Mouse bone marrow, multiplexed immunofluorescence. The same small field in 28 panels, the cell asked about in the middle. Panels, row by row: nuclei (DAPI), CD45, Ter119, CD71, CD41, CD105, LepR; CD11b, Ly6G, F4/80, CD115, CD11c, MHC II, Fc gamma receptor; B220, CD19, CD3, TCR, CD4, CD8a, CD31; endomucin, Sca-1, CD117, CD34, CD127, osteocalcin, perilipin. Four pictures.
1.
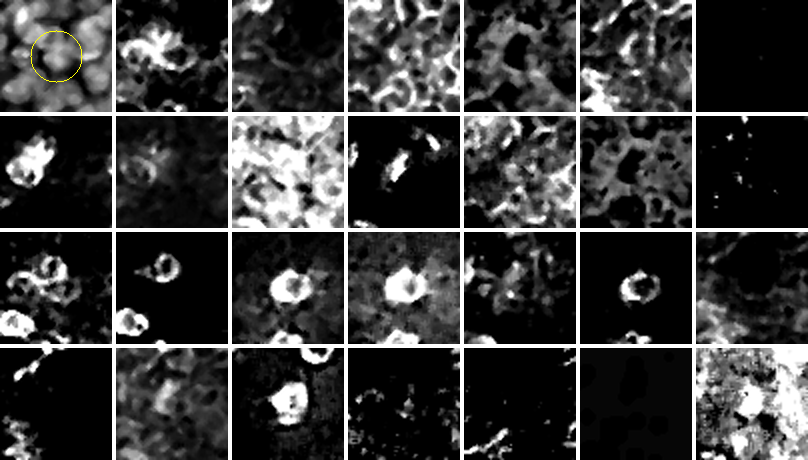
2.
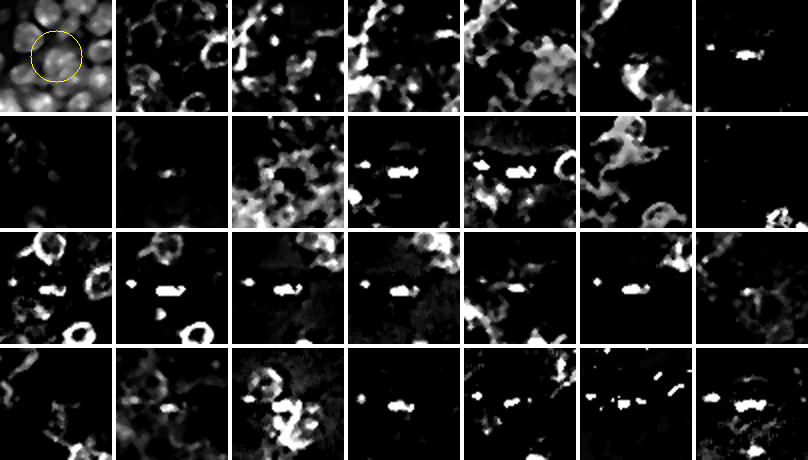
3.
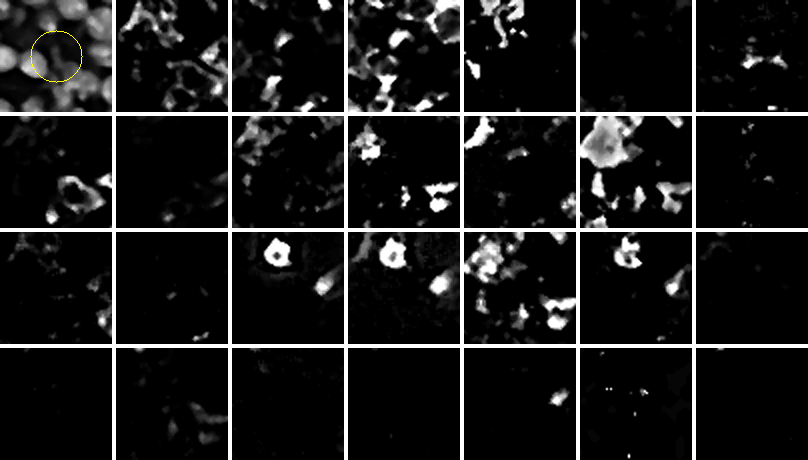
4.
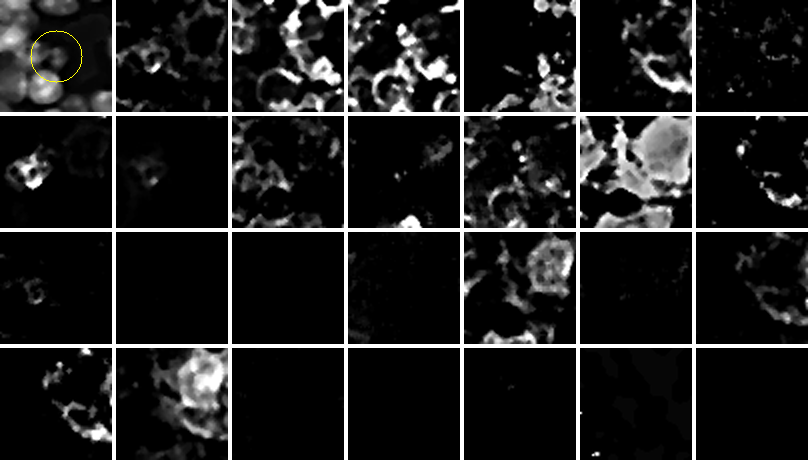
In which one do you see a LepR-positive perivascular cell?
In picture 3.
